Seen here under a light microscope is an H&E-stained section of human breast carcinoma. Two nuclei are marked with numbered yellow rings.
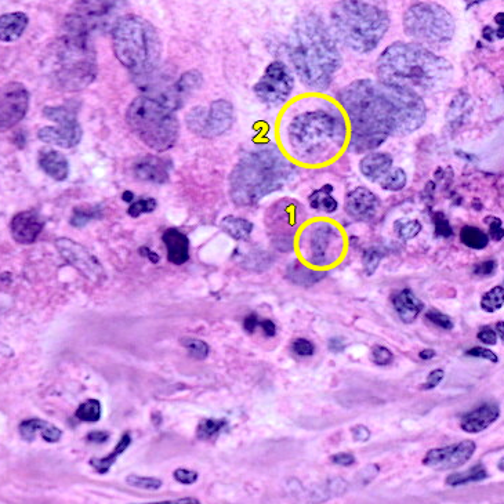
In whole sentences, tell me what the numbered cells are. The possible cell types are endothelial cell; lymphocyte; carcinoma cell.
Cell 1 is an endothelial cell and cell 2 is a carcinoma cell.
